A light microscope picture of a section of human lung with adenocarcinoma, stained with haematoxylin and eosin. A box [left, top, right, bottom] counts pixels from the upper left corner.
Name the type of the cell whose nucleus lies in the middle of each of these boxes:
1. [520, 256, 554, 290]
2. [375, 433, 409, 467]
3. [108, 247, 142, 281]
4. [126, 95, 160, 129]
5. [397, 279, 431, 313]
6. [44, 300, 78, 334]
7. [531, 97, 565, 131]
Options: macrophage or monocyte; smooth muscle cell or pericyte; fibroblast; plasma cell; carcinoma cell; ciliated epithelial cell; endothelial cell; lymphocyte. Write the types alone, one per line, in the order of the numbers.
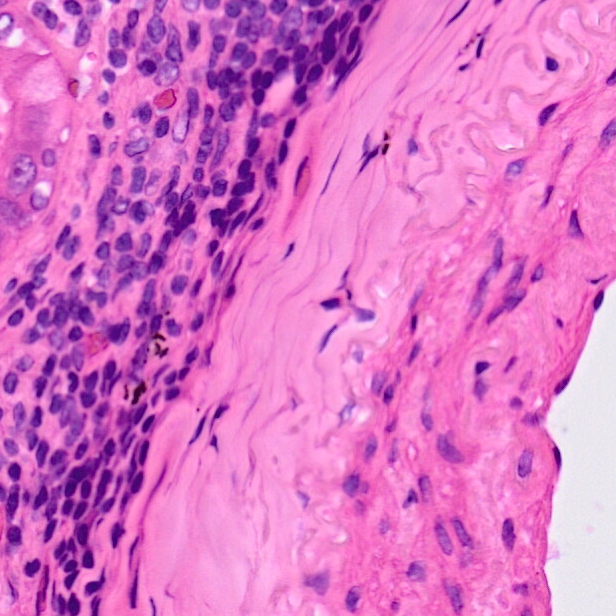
smooth muscle cell or pericyte
smooth muscle cell or pericyte
lymphocyte
lymphocyte
smooth muscle cell or pericyte
lymphocyte
smooth muscle cell or pericyte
